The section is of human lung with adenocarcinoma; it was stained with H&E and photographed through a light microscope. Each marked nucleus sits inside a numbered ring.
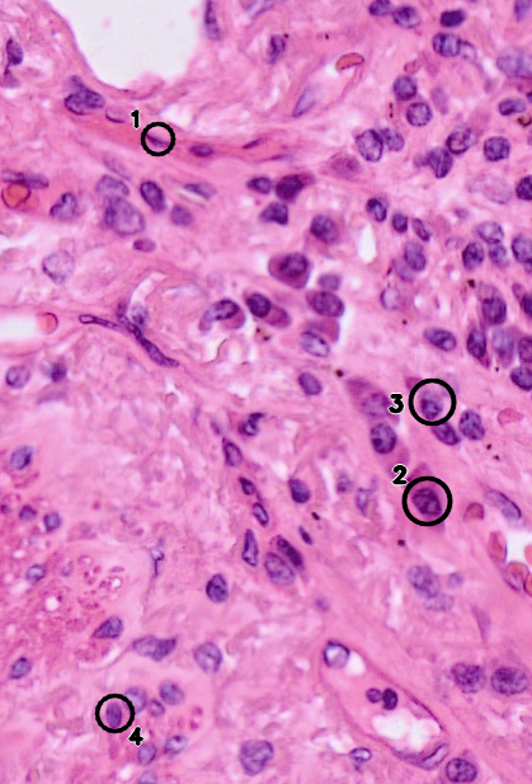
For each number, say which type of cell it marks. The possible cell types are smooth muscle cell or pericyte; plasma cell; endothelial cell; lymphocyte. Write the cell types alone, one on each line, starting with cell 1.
endothelial cell
plasma cell
lymphocyte
smooth muscle cell or pericyte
